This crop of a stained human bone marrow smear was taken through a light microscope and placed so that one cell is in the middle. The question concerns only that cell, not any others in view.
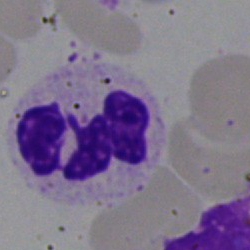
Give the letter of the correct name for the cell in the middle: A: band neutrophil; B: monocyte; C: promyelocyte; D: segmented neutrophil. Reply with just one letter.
D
